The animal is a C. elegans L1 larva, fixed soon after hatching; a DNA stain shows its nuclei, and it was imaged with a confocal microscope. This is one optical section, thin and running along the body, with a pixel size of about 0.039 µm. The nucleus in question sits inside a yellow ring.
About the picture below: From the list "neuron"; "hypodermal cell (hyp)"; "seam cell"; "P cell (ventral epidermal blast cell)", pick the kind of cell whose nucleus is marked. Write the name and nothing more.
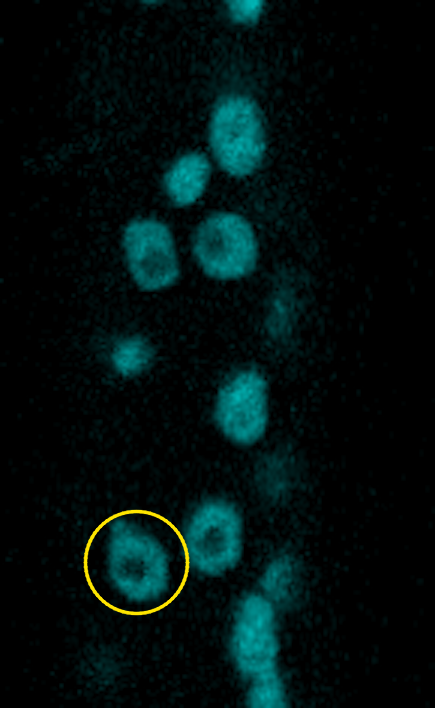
hypodermal cell (hyp)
